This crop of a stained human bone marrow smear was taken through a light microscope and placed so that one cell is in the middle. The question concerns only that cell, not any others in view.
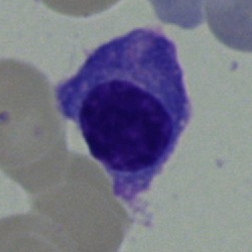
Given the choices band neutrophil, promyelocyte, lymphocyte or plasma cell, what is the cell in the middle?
plasma cell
